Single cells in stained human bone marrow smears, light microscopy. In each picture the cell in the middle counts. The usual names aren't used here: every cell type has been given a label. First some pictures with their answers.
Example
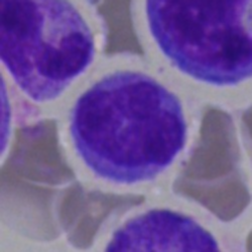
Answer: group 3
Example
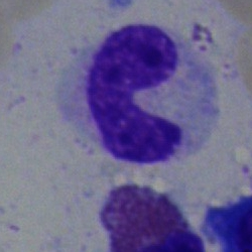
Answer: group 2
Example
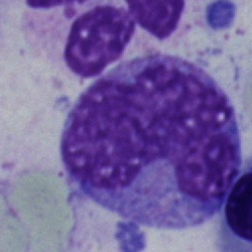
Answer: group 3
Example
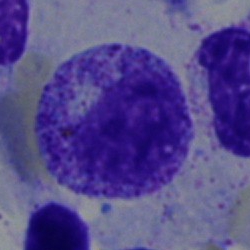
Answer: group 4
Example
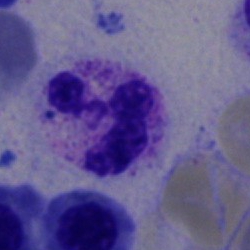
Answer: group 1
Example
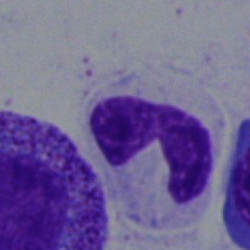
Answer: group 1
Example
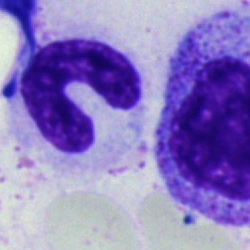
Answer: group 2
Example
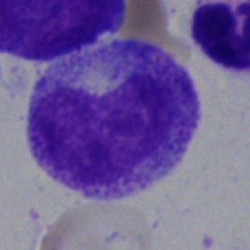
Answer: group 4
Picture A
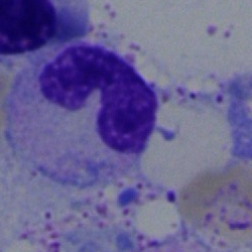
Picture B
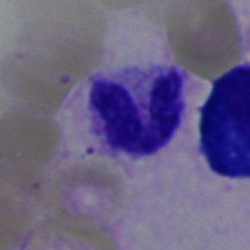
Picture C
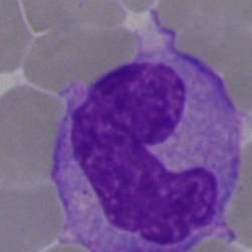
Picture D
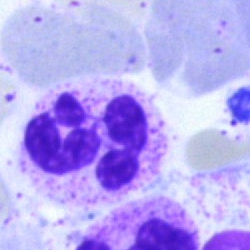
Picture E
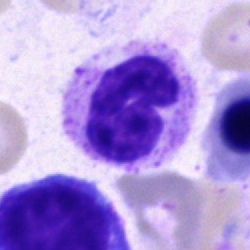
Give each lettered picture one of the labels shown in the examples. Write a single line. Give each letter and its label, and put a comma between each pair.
A group 1, B group 2, C group 3, D group 1, E group 1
